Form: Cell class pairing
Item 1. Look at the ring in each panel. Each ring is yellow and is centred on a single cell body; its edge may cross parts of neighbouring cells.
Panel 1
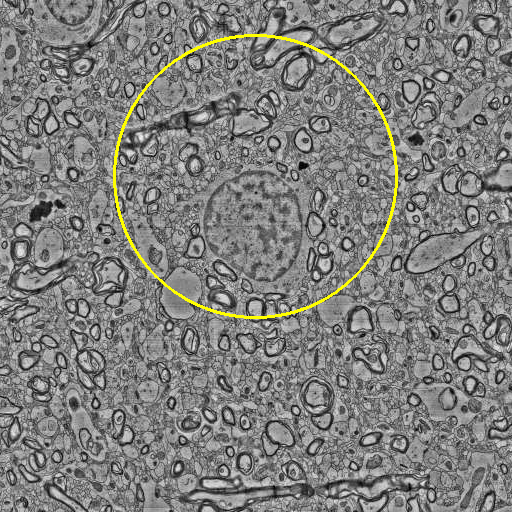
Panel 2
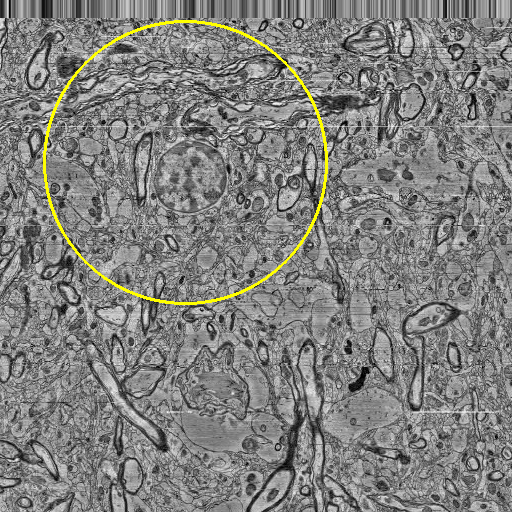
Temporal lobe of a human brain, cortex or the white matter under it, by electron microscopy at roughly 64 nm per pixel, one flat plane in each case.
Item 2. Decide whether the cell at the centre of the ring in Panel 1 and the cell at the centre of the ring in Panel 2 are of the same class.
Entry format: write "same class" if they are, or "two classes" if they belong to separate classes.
two classes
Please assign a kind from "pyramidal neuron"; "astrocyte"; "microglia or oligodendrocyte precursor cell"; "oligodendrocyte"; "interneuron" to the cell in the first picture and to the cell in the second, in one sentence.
In the first picture we have an oligodendrocyte, and in the second, a microglial cell or oligodendrocyte precursor cell.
